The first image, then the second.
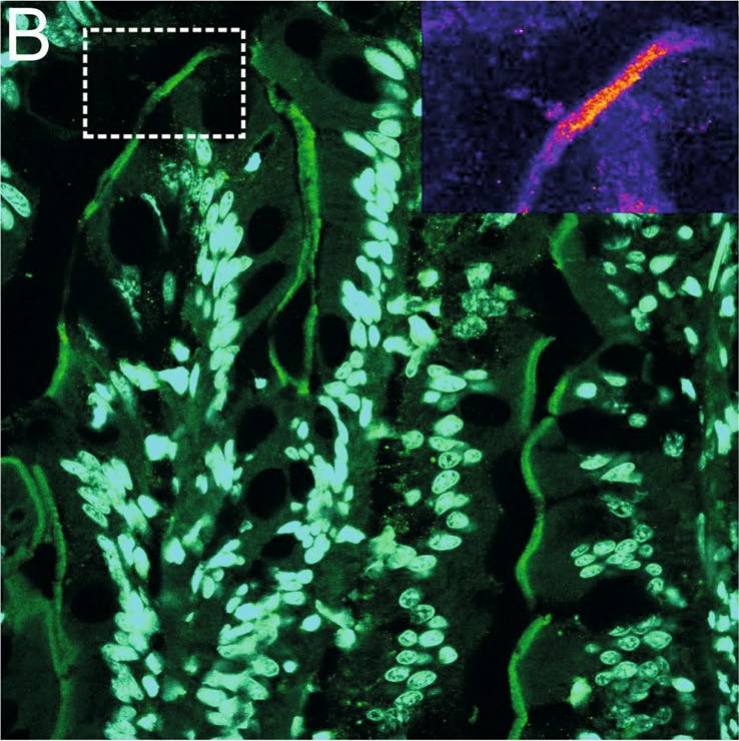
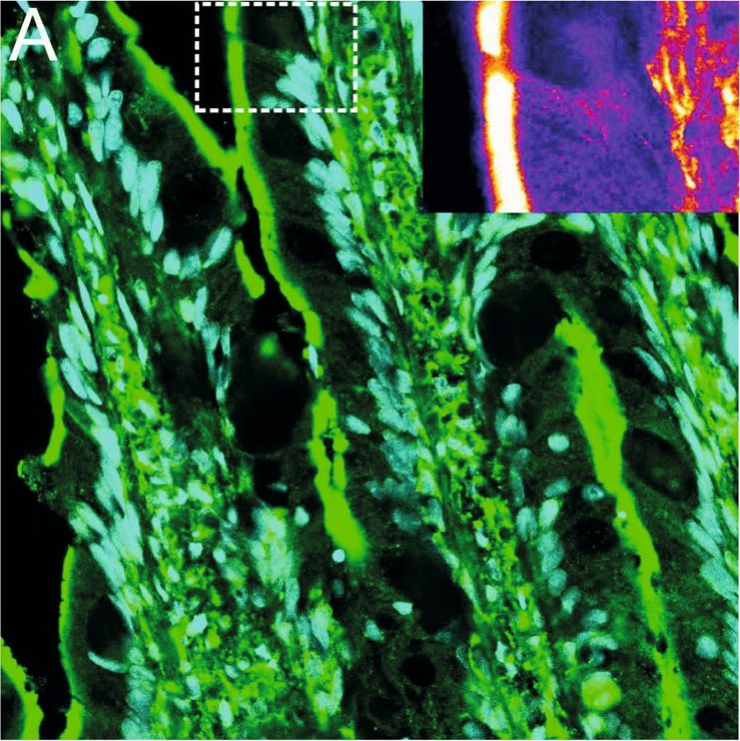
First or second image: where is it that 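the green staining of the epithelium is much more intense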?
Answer: The second image.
